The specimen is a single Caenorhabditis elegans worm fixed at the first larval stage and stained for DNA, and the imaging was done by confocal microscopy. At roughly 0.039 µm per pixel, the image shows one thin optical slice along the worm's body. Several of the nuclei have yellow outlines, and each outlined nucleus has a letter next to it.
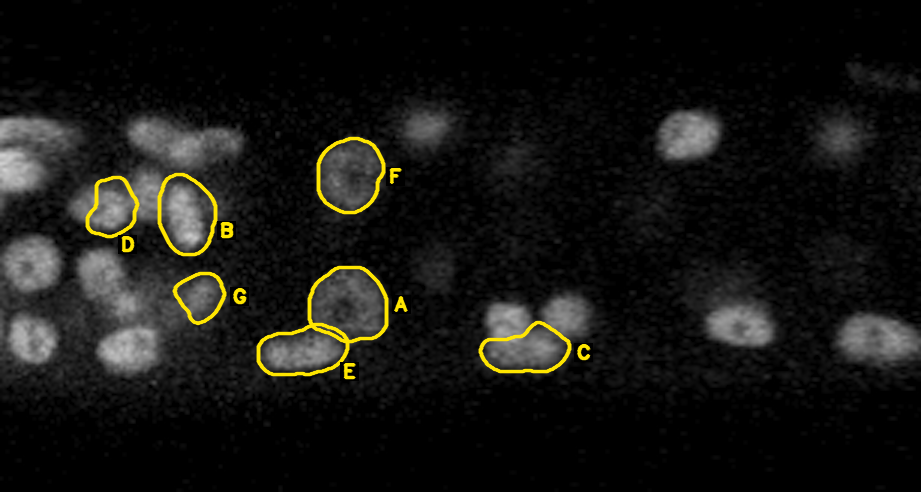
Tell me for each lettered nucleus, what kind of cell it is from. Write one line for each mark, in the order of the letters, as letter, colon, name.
A: intestinal cell
B: valve cell of the gut
C: body wall muscle cell
D: pharyngeal marginal cell
E: body wall muscle cell
F: intestinal cell
G: valve cell of the gut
